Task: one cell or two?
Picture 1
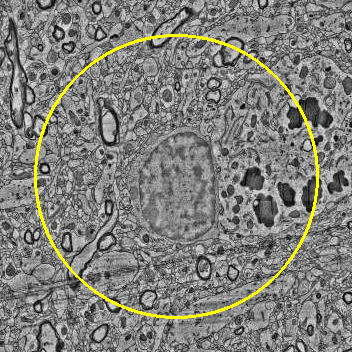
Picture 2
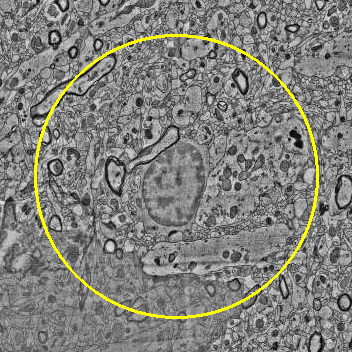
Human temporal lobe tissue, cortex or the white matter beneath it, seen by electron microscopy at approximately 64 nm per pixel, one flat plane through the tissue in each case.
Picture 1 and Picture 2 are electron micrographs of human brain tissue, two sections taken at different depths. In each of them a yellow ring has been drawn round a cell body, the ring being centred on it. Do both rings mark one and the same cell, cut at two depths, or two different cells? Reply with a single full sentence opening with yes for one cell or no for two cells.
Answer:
Yes, the marked cell is the same in both rings.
